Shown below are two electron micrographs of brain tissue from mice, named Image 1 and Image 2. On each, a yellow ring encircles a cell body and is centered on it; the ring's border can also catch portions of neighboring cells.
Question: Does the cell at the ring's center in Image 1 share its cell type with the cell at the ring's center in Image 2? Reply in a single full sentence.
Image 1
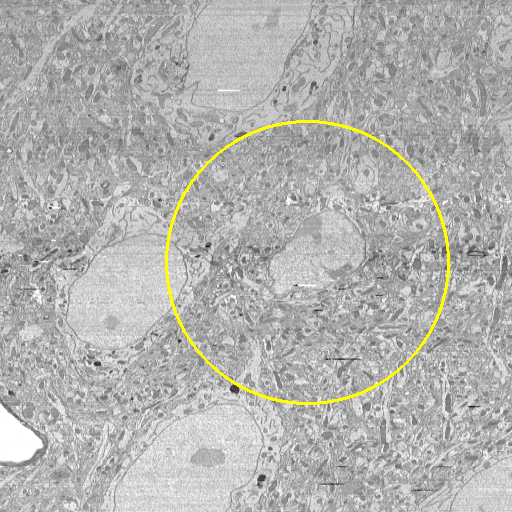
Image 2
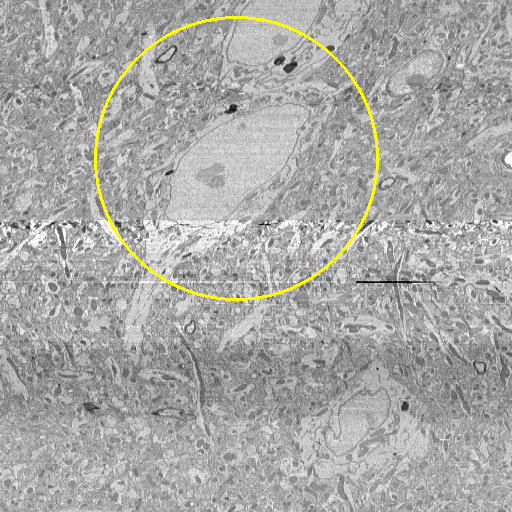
No, the two cells at the ring centers, in Image 1 and Image 2, are of two cell types.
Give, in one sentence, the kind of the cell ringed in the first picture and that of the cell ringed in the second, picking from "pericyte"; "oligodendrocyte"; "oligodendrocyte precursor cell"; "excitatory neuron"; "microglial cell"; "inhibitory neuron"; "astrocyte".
For the first picture it is an oligodendrocyte precursor cell; for the second, an excitatory neuron.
